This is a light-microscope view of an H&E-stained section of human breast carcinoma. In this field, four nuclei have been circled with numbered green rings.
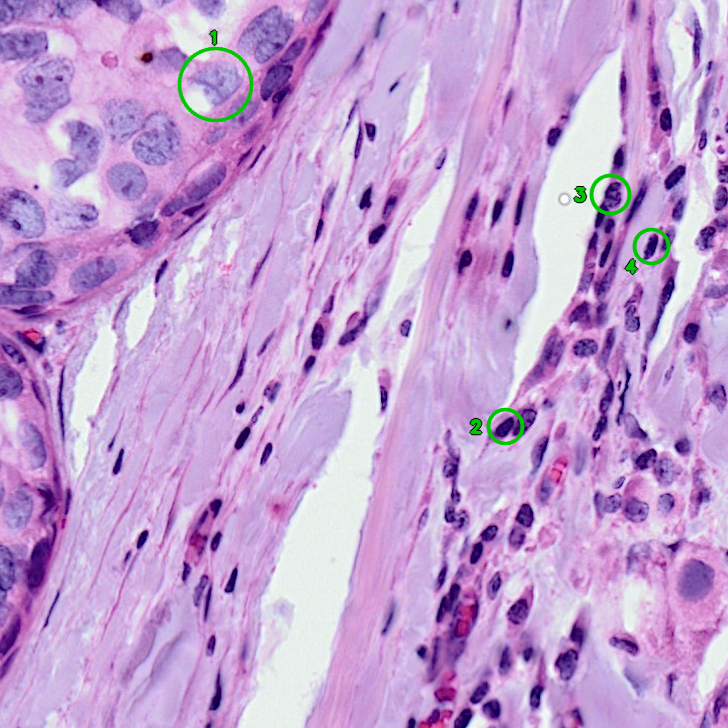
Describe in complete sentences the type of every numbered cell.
Cell 1 is a carcinoma cell. Cells 2, 3 and 4 are lymphocytes.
